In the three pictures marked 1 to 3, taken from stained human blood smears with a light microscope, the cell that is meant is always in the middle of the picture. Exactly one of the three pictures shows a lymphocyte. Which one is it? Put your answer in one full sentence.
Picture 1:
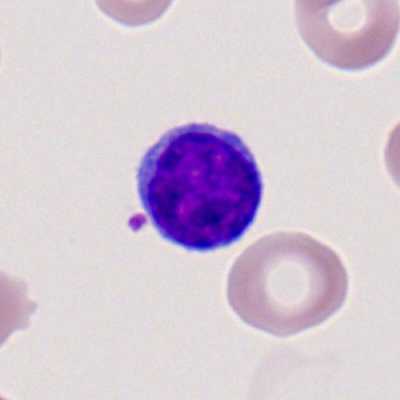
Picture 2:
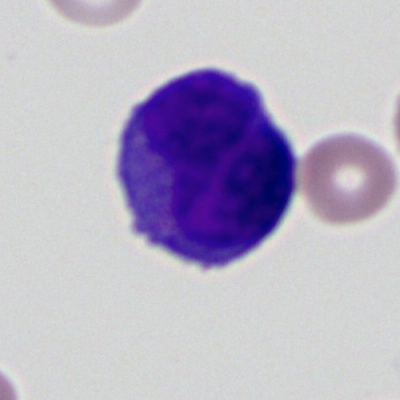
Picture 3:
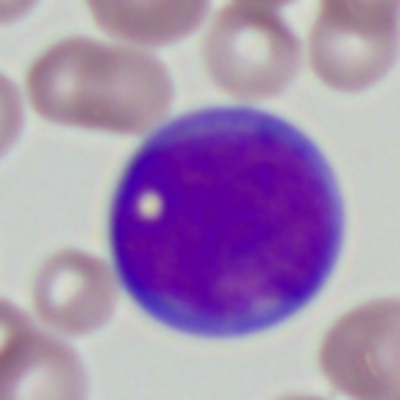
The picture with the lymphocyte is 1.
